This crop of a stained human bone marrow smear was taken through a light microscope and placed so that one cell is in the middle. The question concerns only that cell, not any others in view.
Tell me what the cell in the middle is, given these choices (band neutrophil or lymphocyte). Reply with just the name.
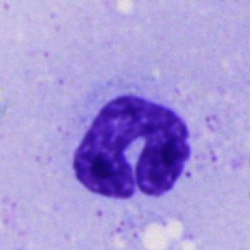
band neutrophil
